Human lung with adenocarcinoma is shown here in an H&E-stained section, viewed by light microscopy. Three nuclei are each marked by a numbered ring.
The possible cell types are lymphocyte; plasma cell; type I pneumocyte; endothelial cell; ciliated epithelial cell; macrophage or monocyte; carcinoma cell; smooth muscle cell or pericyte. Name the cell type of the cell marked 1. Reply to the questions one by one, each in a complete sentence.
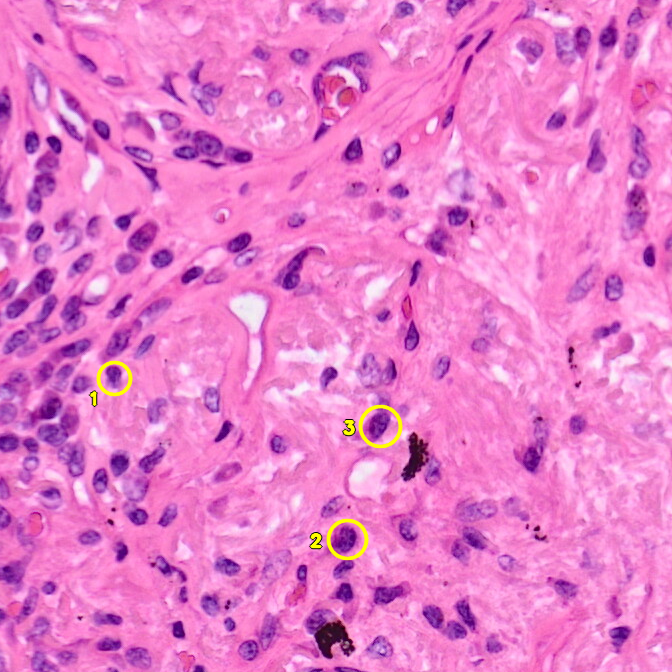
It is as a lymphocyte that the cell numbered 1 is identified.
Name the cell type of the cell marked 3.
Among the marked cells, number 3 is a plasma cell.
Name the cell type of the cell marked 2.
The cell pointed out by number 2 is a plasma cell.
